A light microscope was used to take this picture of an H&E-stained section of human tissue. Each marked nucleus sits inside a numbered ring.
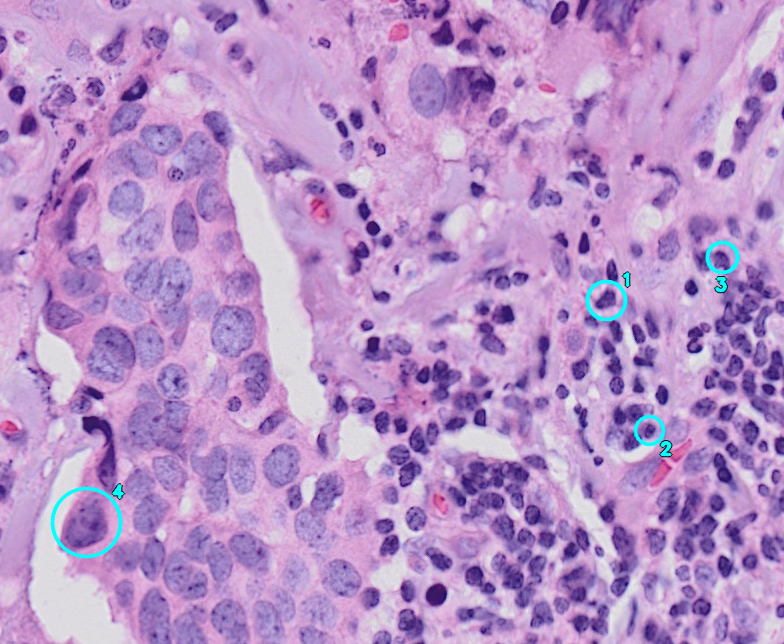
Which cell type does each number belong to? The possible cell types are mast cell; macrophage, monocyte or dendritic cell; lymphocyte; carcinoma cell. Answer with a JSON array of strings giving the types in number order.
["lymphocyte", "lymphocyte", "lymphocyte", "carcinoma cell"]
